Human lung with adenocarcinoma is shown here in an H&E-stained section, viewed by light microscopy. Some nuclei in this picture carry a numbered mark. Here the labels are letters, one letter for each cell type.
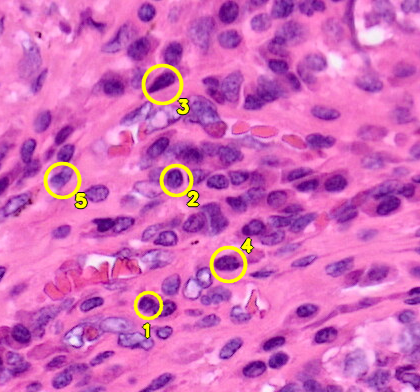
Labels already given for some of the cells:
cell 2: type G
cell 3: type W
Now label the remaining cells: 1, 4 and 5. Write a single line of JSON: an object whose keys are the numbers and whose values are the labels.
{"1": "type W", "4": "type W", "5": "type G"}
